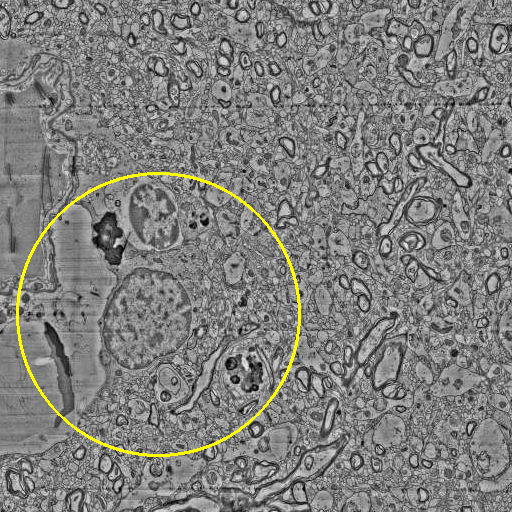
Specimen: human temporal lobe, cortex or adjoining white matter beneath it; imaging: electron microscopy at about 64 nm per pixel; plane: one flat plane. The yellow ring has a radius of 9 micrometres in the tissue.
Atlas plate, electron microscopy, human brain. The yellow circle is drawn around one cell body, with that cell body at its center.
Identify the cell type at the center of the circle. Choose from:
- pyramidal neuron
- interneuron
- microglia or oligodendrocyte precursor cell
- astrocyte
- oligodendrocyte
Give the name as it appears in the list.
oligodendrocyte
